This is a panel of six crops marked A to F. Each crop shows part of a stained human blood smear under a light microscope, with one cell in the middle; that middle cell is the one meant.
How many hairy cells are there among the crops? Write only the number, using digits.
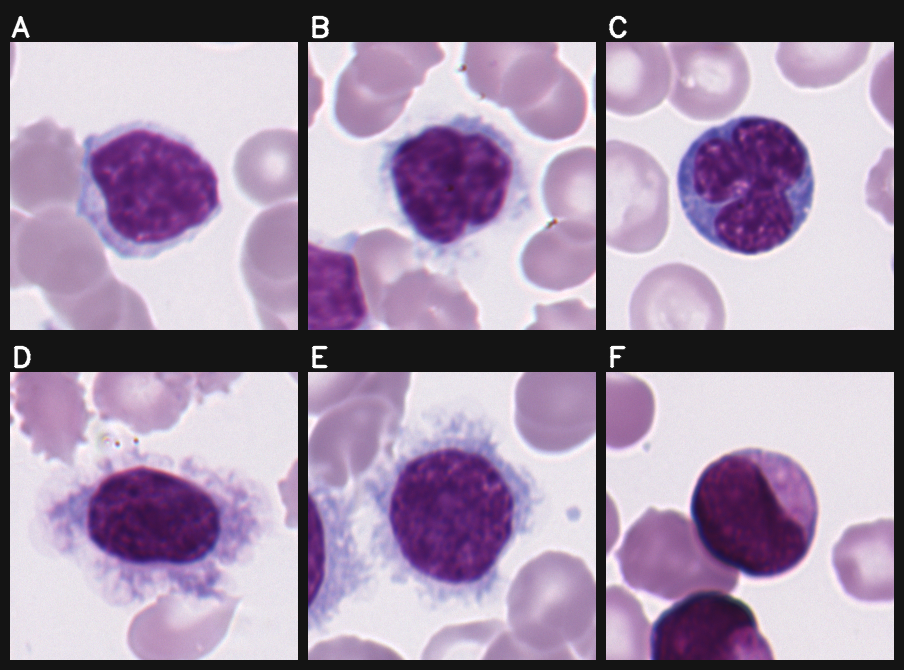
3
